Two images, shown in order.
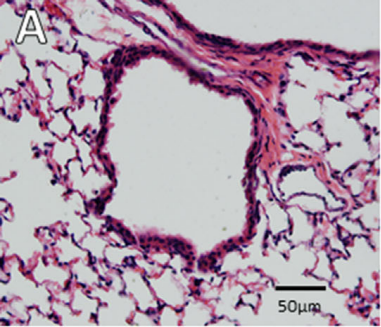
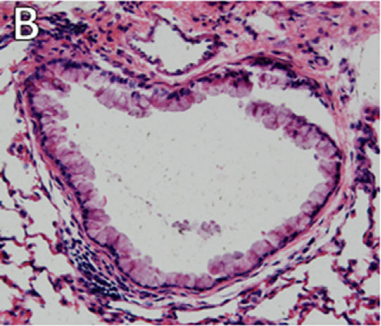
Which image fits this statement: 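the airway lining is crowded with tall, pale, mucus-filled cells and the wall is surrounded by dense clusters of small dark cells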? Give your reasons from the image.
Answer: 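The second image. First image: the airway is lined by a thin, even layer of low cells with dark nuclei and little surrounding cellular tissue. Second image: the lining is tall with pale bulging cells, and many small dark nuclei gather around the airway wall.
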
